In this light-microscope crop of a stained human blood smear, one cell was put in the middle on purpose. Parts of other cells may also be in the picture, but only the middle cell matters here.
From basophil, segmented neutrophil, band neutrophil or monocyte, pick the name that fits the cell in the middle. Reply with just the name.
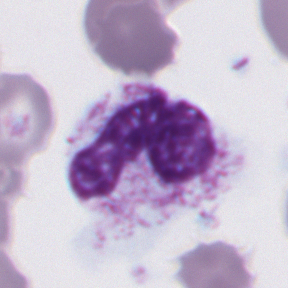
segmented neutrophil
